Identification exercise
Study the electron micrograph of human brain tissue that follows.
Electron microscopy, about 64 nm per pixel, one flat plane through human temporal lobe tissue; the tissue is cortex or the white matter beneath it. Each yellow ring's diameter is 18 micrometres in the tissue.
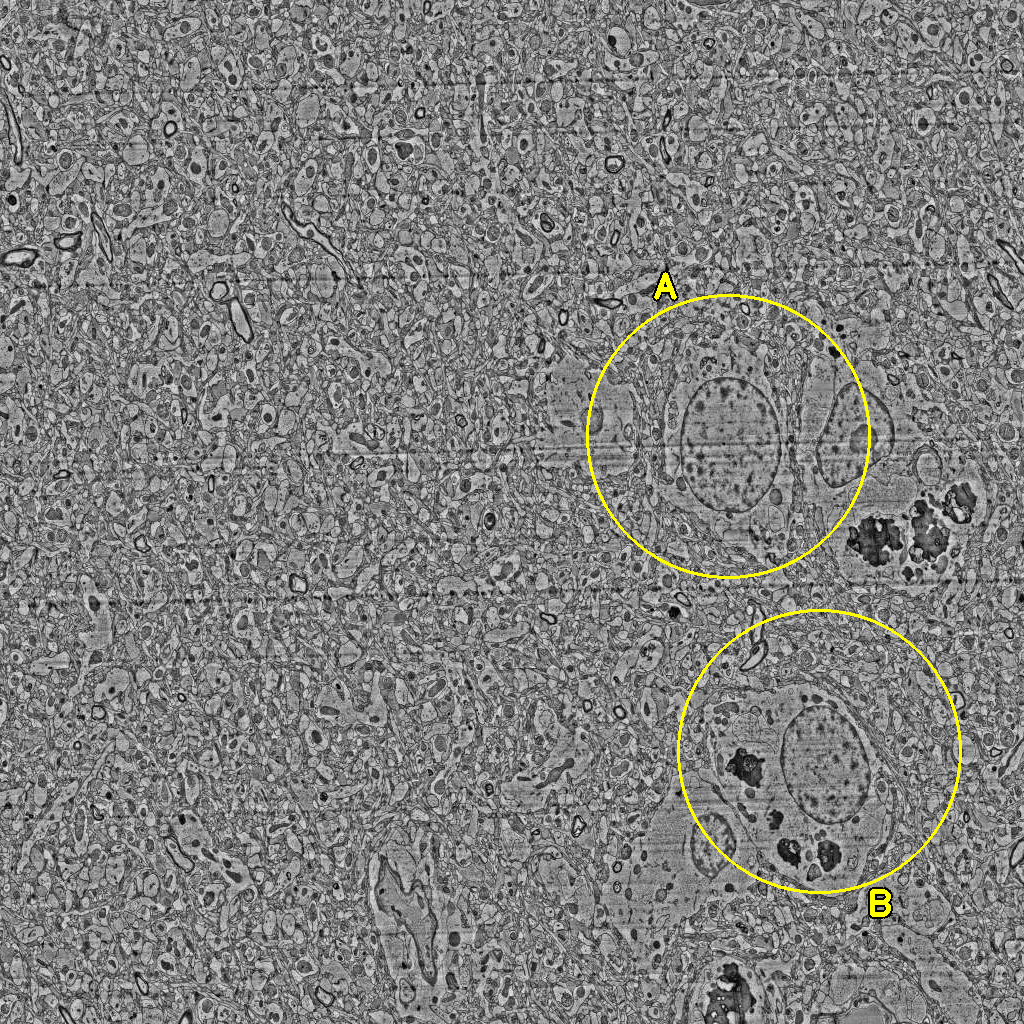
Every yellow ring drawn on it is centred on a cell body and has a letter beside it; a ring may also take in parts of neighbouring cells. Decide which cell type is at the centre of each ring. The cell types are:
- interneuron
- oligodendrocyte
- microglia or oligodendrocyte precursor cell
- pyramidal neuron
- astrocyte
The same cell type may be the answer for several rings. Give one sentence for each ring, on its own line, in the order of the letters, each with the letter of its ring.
Ring A encircles an astrocyte.
Ring B encircles an astrocyte.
